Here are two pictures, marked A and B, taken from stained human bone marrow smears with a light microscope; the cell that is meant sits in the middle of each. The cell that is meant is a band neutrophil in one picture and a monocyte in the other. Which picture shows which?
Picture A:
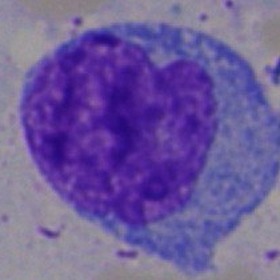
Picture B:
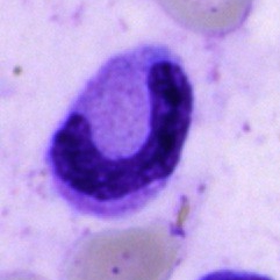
A: monocyte
B: band neutrophil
